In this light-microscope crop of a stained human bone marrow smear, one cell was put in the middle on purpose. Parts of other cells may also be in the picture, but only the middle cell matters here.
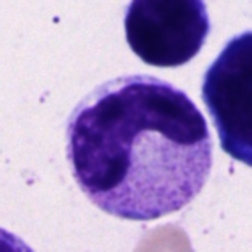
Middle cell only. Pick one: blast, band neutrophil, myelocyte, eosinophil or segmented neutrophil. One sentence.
The cell in the middle of the field of view is a band neutrophil.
